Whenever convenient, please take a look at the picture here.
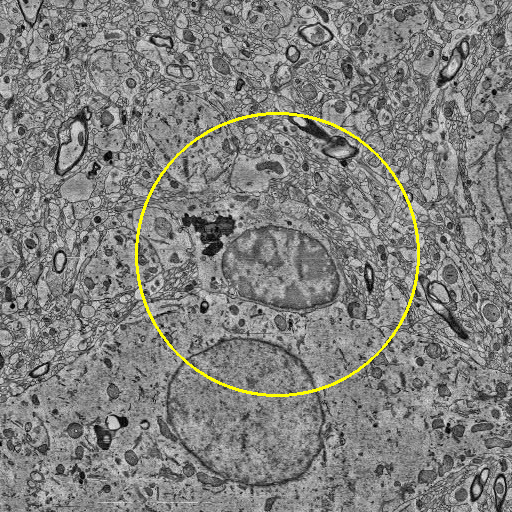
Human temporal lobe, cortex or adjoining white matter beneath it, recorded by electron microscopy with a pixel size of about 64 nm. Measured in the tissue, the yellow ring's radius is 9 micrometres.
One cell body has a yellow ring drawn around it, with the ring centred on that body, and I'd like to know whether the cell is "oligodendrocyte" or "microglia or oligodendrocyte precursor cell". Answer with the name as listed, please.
oligodendrocyte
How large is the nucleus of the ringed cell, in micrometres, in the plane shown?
In this plane the nucleus is about 8 micrometres by 5.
